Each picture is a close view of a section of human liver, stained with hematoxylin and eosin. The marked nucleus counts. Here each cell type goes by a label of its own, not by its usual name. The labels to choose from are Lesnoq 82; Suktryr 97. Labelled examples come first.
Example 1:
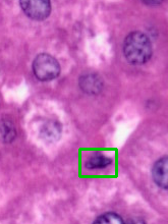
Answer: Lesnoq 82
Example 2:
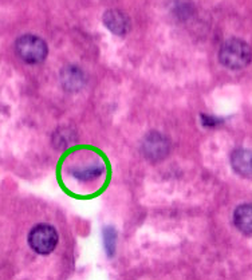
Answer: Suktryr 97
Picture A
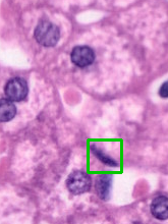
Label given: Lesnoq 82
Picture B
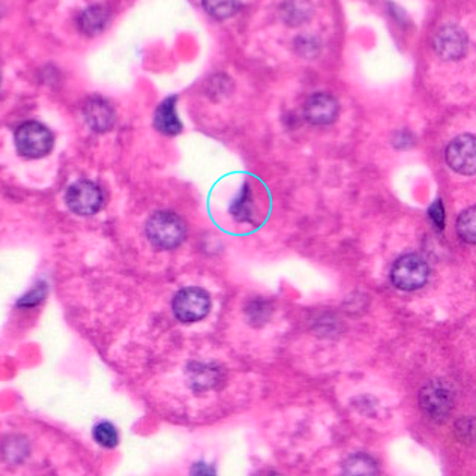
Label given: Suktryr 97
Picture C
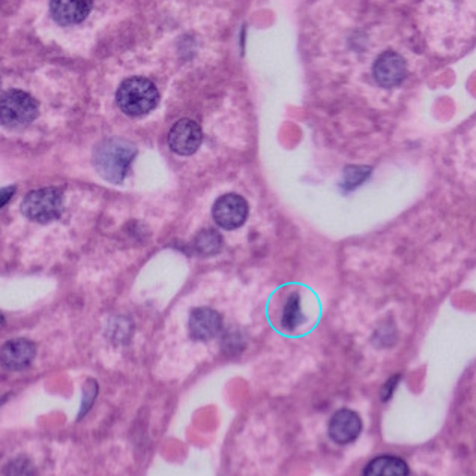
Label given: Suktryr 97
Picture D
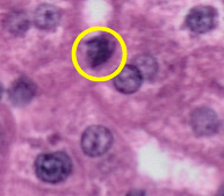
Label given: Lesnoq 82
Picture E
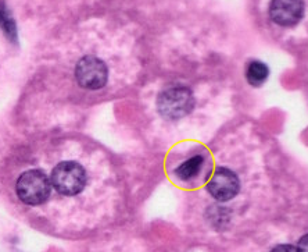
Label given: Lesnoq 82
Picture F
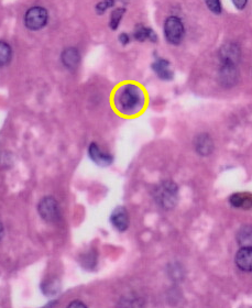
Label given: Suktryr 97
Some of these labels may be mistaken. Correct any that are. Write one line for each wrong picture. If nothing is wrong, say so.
F: not Suktryr 97 but Lesnoq 82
